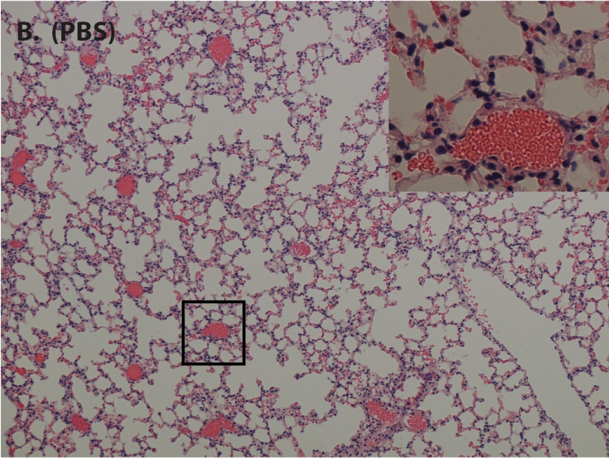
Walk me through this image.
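This is lung parenchyma in which thin pink septa with scattered purple nuclei enclose many empty, rounded air spaces. Small blood vessels scattered among the septa are filled with bright red cells. The enlarged inset shows a vessel tightly packed with red blood cells, bordered by septa whose nuclei stain dark purple.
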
